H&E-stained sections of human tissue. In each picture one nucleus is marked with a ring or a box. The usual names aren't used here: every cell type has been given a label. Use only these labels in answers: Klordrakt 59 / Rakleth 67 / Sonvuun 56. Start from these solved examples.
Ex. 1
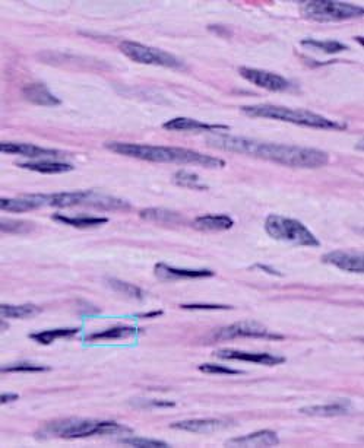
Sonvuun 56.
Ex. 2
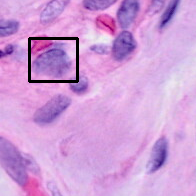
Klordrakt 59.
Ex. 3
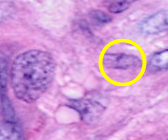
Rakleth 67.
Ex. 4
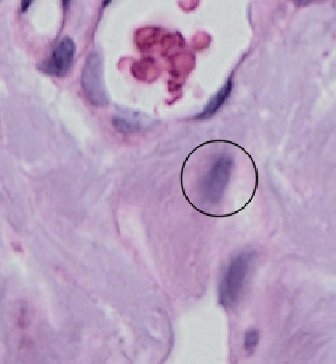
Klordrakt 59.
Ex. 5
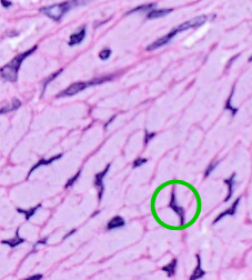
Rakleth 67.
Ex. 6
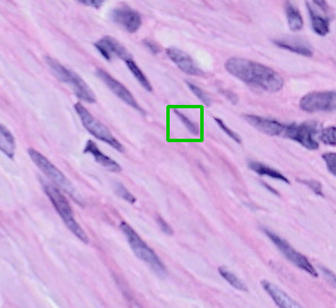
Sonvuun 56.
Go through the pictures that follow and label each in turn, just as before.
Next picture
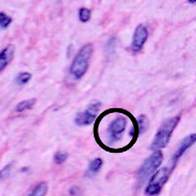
Sonvuun 56.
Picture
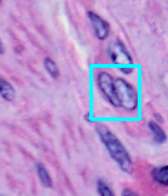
Klordrakt 59.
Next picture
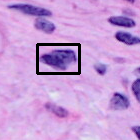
Rakleth 67.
